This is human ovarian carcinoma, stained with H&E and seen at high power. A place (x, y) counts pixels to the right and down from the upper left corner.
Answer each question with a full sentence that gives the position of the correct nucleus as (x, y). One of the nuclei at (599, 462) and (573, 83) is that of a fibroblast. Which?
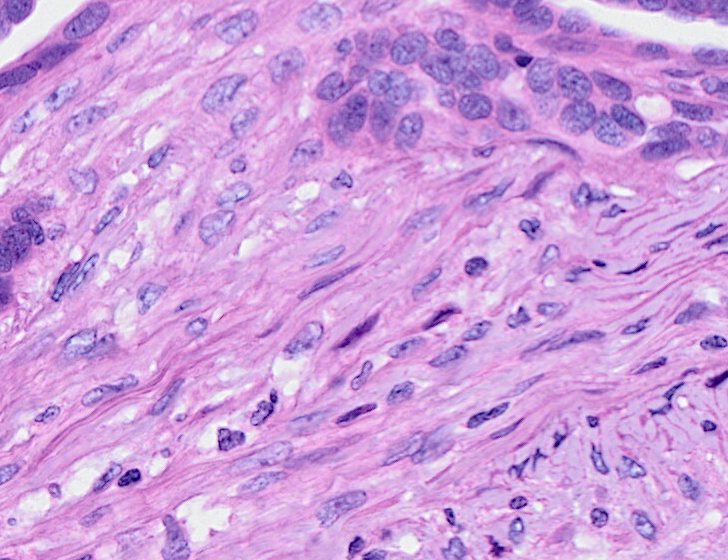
Of the two nuclei, it is the one at (599, 462) that lies within a fibroblast.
